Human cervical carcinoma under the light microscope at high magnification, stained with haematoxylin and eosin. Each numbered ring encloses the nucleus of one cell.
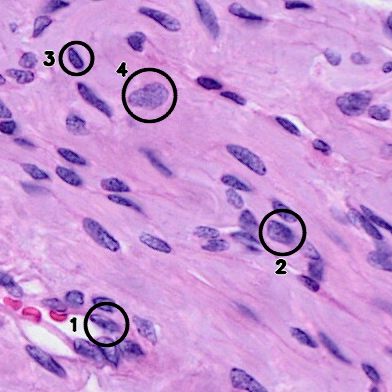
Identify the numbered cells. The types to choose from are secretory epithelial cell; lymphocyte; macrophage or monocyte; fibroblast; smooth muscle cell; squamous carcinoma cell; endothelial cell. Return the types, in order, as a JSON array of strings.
["endothelial cell", "fibroblast", "fibroblast", "fibroblast"]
